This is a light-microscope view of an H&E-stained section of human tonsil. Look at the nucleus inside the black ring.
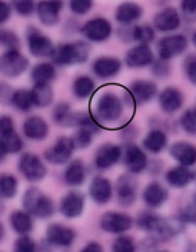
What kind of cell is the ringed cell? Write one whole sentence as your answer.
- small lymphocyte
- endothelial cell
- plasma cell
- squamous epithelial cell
Right, so the ringed cell is a small lymphocyte, to answer that.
